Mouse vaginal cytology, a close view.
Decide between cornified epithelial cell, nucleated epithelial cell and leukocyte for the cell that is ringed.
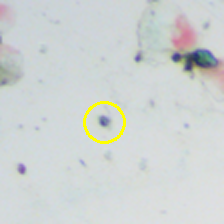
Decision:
I take the ringed cell for a leukocyte.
